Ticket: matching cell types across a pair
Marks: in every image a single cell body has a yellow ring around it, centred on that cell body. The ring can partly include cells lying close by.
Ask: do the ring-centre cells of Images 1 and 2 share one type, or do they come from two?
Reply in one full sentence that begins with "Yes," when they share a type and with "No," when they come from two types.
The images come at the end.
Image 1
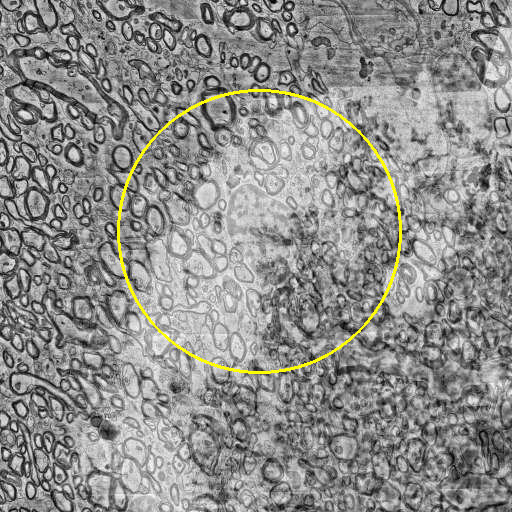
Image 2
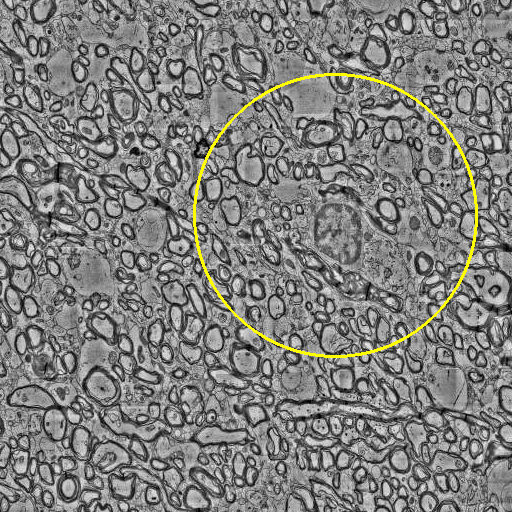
No, the cells in the centres of the rings in Image 1 and Image 2 come from two types.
